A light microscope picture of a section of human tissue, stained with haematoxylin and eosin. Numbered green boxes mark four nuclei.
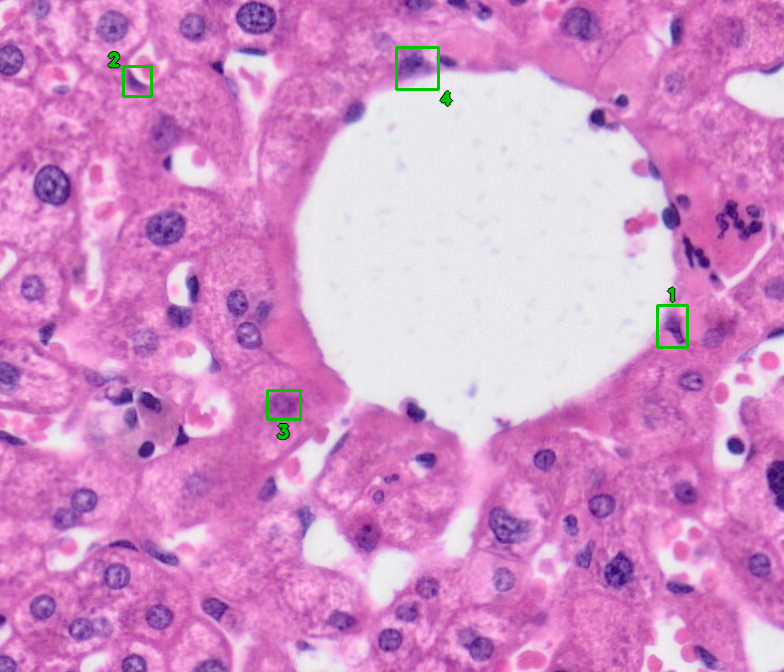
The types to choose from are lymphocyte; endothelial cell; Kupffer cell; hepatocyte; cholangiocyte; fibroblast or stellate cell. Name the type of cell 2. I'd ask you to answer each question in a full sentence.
Belonging to an endothelial cell is the nucleus that carries the number 2.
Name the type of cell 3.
The cell marked with the number 3 is a hepatocyte.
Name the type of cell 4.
Number 4 is placed on a fibroblast or stellate cell here.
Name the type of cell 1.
Here the cell numbered 1 is a fibroblast or stellate cell.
